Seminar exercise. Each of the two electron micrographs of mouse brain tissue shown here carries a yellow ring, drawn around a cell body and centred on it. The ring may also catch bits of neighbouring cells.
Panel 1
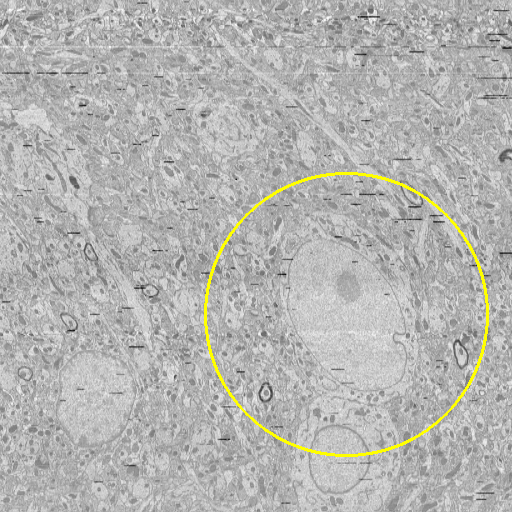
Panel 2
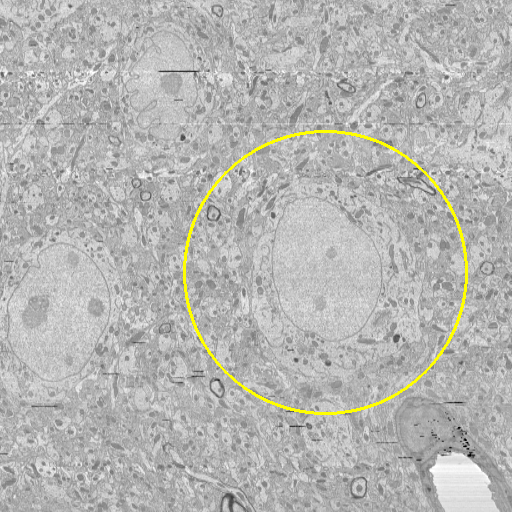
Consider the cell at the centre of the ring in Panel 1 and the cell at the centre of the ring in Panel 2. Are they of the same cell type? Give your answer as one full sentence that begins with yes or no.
Yes, both cells are of the same type.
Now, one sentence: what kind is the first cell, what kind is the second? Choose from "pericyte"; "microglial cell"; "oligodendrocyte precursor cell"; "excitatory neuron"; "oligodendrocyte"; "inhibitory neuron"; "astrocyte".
The second cell is an excitatory neuron, just as the first is.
